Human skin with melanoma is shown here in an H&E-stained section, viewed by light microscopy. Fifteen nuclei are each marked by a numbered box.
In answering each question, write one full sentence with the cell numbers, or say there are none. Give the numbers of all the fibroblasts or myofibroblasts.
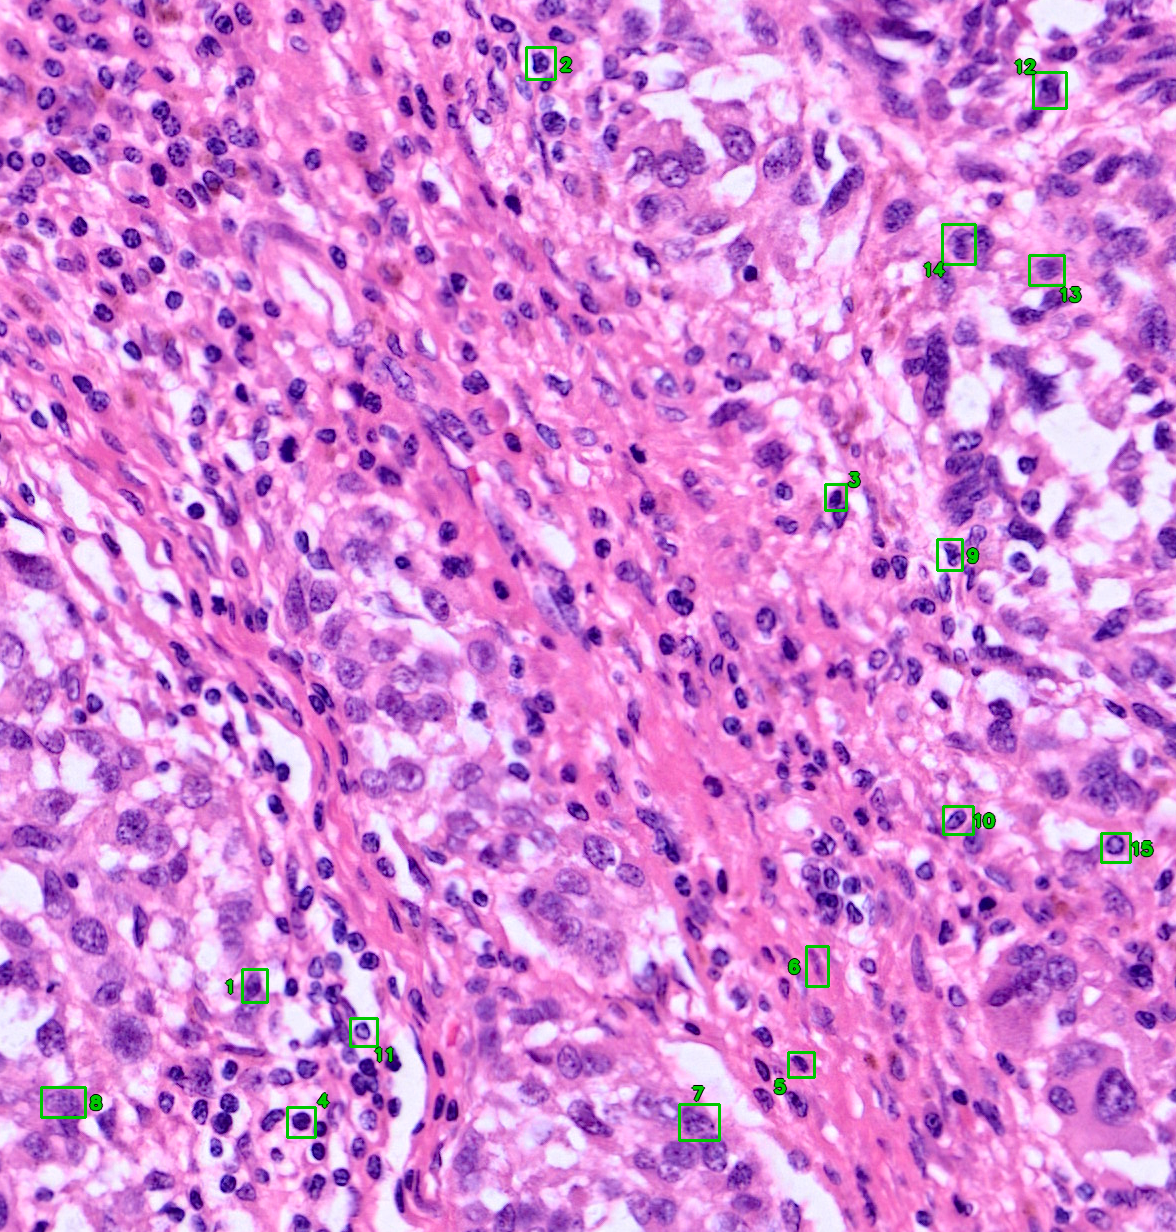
Only the cell with number 6 is a fibroblast or myofibroblast.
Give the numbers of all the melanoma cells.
Here, the cells that carry numbers 1, 7, 8, 12, 13 and 14 are melanoma cells.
